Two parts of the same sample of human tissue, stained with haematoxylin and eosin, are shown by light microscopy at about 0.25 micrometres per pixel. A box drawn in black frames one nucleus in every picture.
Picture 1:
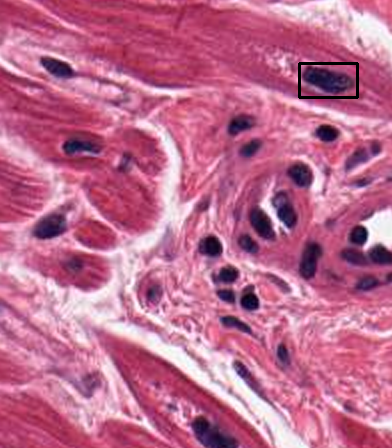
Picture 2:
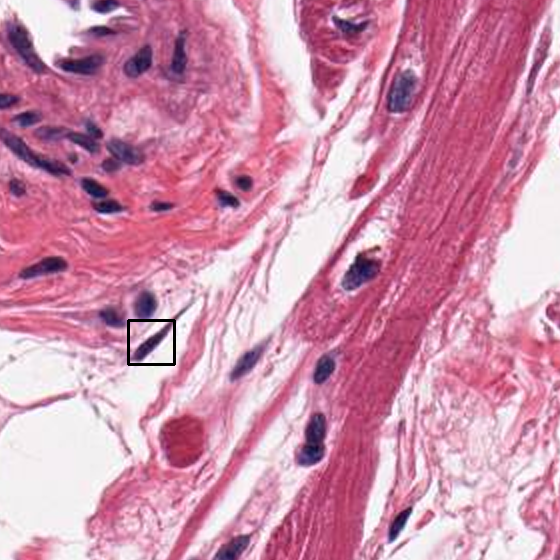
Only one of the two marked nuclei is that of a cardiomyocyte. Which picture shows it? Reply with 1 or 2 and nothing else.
1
